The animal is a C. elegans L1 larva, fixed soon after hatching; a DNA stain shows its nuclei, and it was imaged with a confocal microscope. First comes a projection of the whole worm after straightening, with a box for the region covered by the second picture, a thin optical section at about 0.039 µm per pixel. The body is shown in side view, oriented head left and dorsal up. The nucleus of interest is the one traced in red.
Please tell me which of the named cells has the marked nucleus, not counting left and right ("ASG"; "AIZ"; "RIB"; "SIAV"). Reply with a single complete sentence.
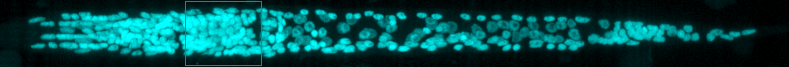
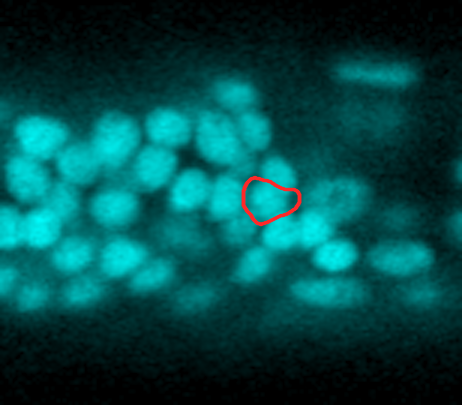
The marked cell is AIZ, a neuron.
